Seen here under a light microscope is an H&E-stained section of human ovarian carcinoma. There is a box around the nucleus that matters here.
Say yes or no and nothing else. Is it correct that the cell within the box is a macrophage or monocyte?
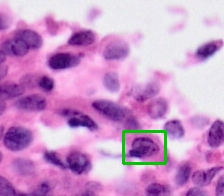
yes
